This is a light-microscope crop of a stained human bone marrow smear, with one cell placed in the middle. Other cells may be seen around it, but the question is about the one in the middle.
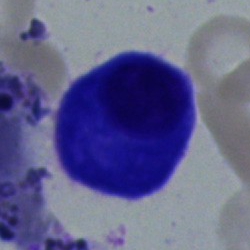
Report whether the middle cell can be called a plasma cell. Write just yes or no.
yes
